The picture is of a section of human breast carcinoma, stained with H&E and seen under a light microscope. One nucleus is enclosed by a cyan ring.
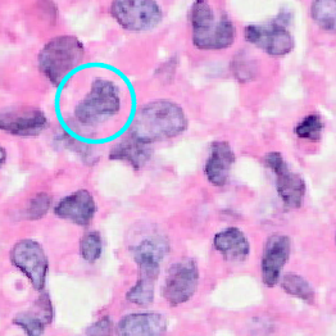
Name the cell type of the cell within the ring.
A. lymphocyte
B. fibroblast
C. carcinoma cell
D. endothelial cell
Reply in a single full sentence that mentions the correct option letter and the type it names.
Under option C, the cell within the ring is listed as a carcinoma cell, which is correct.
